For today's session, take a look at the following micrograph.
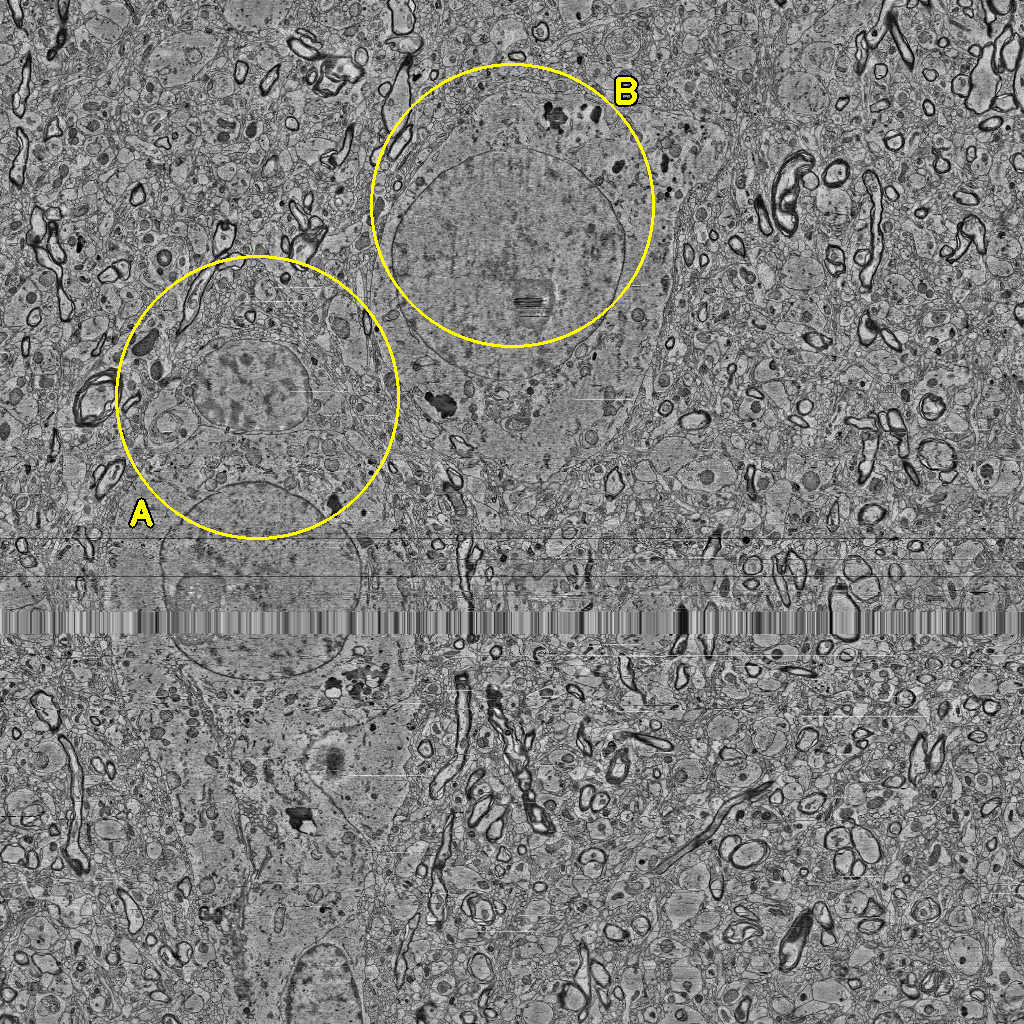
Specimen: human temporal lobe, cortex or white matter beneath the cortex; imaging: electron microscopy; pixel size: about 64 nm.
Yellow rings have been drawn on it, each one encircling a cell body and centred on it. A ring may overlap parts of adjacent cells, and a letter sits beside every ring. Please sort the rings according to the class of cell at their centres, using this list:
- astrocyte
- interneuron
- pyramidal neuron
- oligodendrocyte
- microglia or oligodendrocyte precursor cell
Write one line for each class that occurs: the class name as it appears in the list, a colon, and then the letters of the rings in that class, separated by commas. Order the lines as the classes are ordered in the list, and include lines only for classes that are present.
pyramidal neuron: B
oligodendrocyte: A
